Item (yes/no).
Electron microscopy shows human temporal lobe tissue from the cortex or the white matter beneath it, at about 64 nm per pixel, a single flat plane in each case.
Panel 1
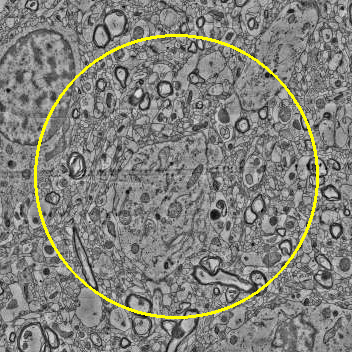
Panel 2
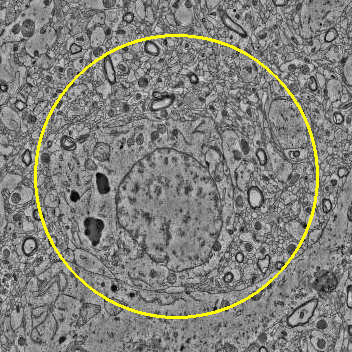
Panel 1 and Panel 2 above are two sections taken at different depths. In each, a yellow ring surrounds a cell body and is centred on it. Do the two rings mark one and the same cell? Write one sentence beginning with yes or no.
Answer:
No, the two yellow rings each circle a different cell.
